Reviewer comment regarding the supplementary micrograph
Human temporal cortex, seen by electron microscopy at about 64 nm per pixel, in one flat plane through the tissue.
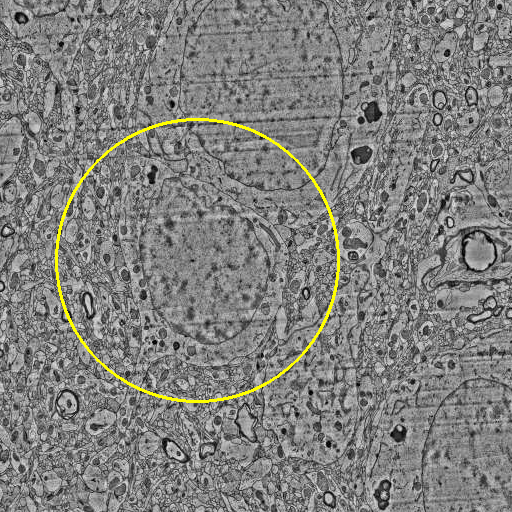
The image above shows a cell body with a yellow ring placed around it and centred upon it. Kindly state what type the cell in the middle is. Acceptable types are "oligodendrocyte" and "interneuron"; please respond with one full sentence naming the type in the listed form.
In the image above, the cell on which the yellow ring is centred is an interneuron.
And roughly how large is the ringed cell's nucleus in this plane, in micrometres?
The nucleus works out at approximately 10 by 8 micrometres in this plane.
